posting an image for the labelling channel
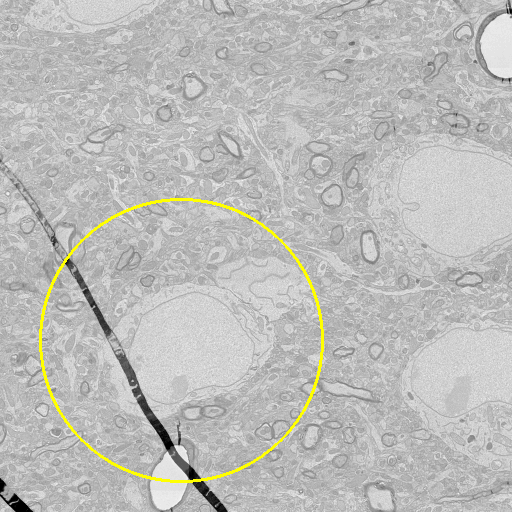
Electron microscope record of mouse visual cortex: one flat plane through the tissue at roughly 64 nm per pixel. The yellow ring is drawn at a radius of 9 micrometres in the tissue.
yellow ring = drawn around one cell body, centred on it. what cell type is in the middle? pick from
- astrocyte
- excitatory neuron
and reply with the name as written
excitatory neuron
